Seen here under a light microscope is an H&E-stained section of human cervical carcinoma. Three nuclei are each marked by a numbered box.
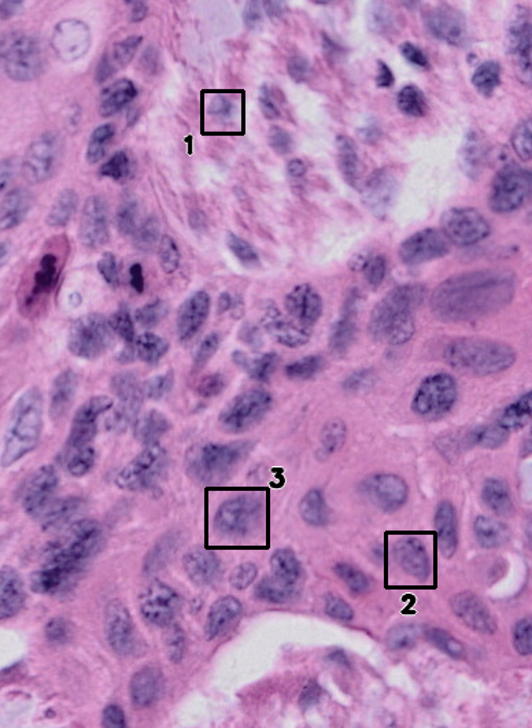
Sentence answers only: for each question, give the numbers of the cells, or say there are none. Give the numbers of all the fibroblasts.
Only the cell at mark 1 is a fibroblast, and no other marked cell is.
